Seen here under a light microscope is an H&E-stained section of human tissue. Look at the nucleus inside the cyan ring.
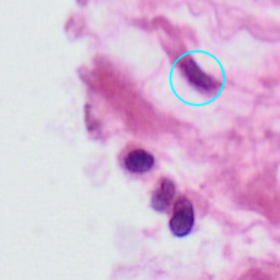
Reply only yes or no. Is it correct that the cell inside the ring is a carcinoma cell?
no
